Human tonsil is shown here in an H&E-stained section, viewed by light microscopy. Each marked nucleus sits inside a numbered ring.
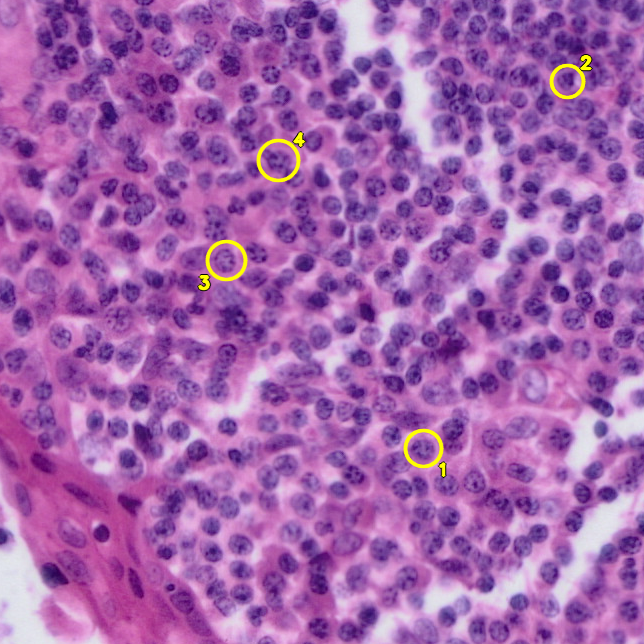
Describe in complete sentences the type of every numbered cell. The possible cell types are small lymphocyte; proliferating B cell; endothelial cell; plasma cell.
Cell 1 is a plasma cell, cell 2 is a small lymphocyte, cell 3 is a plasma cell and cell 4 is a plasma cell.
